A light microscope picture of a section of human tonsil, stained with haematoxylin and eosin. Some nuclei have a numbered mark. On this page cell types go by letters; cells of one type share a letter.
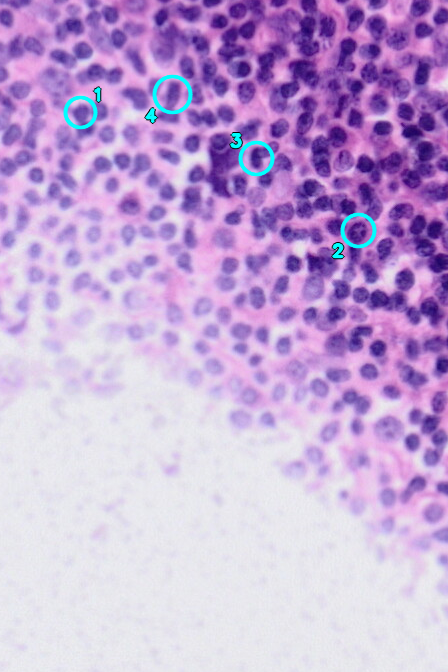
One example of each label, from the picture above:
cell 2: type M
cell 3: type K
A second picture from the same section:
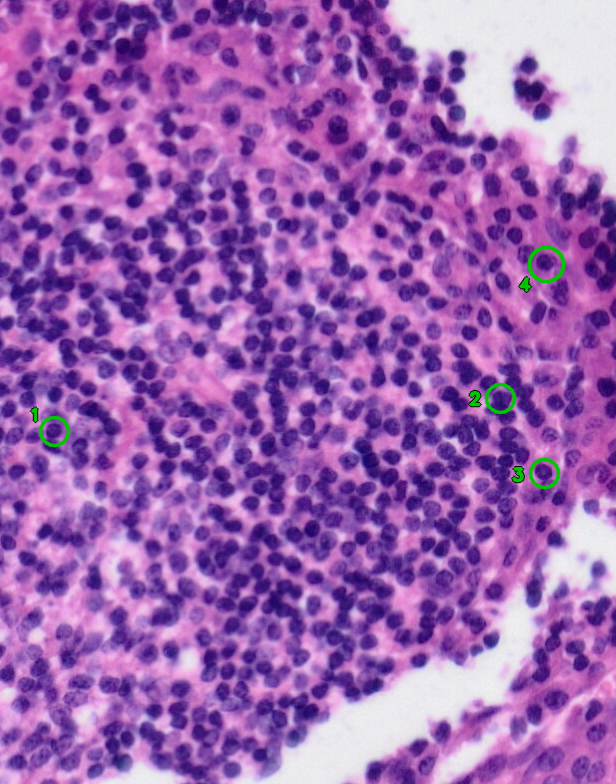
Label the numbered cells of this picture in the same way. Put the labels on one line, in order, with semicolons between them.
type K; type K; type M; type M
